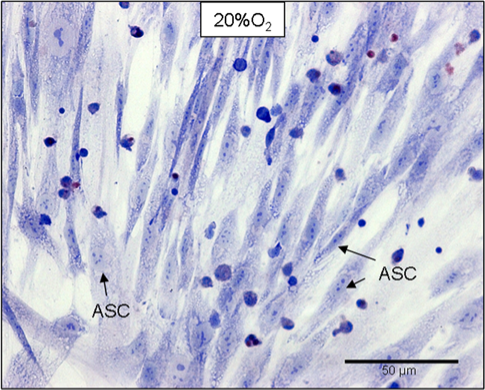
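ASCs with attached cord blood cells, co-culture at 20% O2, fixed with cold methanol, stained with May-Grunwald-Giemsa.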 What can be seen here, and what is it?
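The flat cells are spindle-shaped to broad, lie in roughly parallel streams, and have pale lilac-blue cytoplasm with oval, lightly stained nuclei, some with visible nucleoli. Scattered over them are many much smaller, rounded cells with dense dark blue to purple nuclei and scant cytoplasm. Some of these small cells carry reddish-pink granules, and a few are just small dark dots. The small cells are spread singly or in small groups across the whole layer.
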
